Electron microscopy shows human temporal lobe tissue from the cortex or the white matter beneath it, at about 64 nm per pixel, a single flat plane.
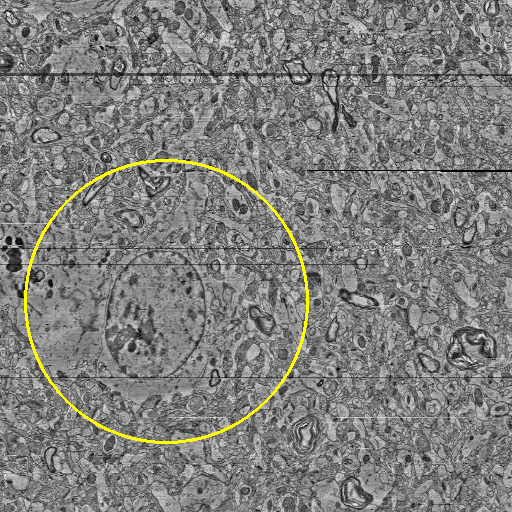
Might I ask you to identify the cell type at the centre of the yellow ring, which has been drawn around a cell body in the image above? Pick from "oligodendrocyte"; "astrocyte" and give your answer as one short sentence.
The centre of the ring falls on an astrocyte.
